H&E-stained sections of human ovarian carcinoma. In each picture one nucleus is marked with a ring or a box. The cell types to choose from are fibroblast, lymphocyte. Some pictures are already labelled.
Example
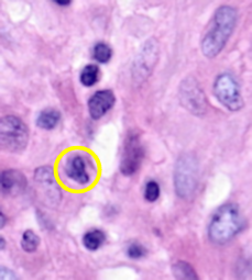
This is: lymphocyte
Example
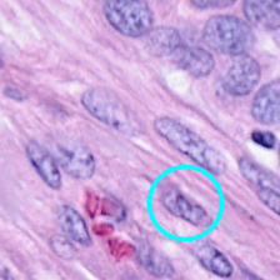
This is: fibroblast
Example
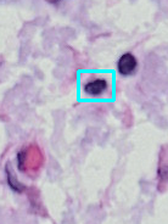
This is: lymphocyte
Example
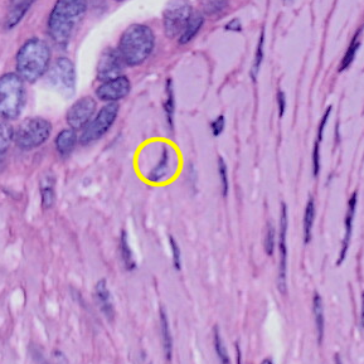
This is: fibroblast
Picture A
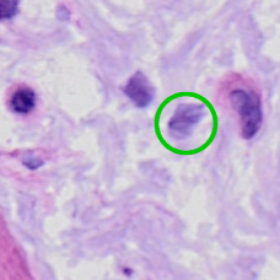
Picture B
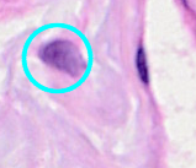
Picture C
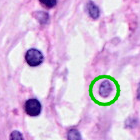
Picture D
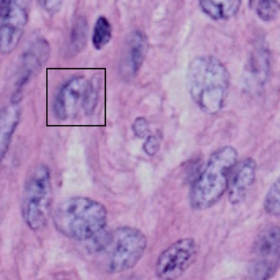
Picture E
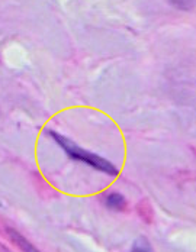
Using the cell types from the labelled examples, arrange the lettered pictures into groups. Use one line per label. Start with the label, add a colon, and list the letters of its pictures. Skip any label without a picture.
fibroblast: A, B, D, E
lymphocyte: C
